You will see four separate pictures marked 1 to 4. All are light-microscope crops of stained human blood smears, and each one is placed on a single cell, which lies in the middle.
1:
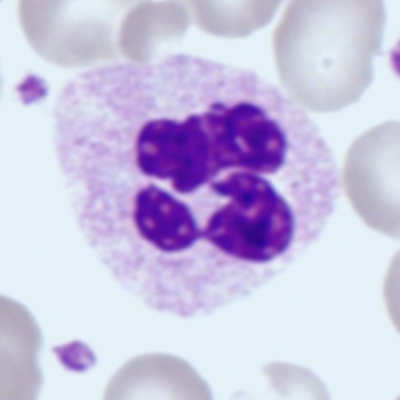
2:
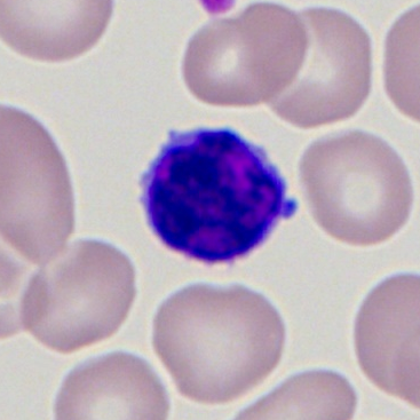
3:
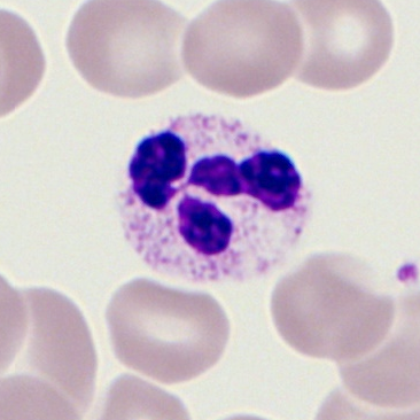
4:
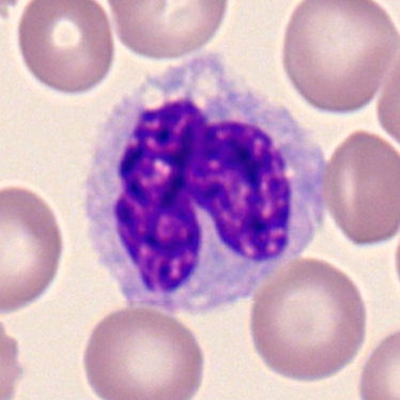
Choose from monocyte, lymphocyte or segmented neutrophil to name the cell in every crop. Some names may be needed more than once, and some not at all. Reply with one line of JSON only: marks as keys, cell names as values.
{"1": "segmented neutrophil", "2": "lymphocyte", "3": "segmented neutrophil", "4": "monocyte"}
